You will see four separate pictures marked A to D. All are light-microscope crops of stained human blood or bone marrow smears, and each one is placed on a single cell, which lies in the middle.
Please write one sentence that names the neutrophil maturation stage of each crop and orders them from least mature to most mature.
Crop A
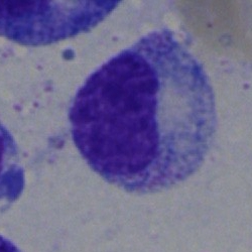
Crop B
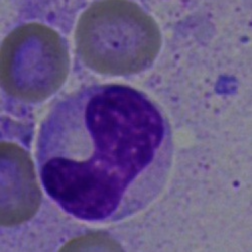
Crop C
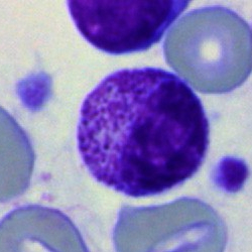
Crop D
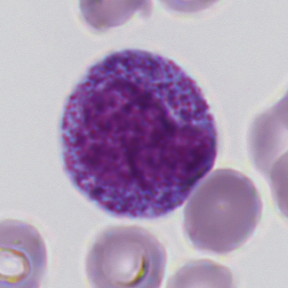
Ranking by maturity from lowest to highest gives crop D (a promyelocyte), crop C (a myelocyte), crop A (a metamyelocyte) and crop B (a band neutrophil).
